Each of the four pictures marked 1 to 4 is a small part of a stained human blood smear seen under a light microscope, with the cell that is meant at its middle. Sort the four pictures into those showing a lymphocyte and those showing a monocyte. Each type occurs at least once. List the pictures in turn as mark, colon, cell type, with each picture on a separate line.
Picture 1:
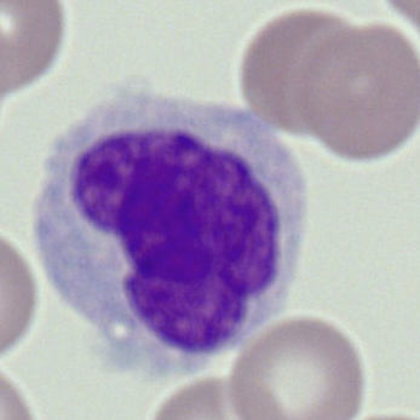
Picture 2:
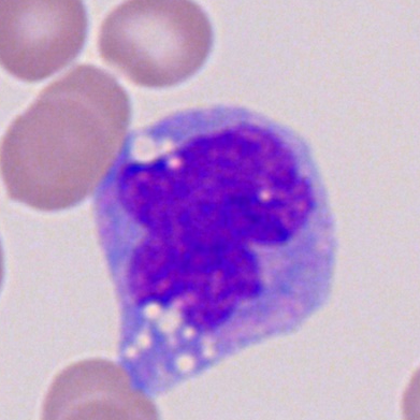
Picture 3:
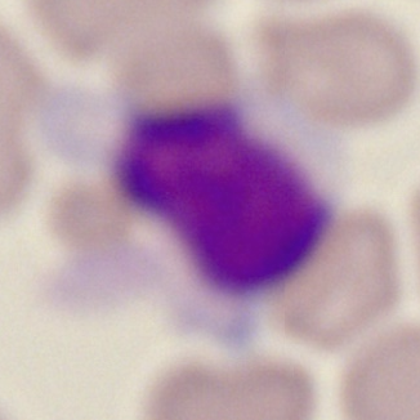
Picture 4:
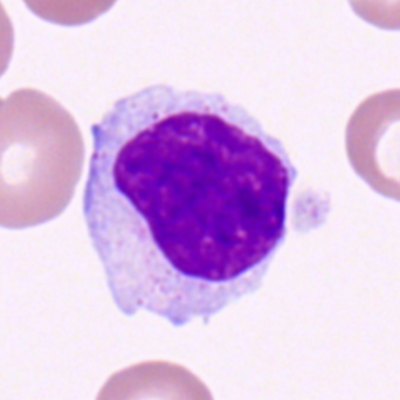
1: monocyte
2: monocyte
3: lymphocyte
4: lymphocyte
